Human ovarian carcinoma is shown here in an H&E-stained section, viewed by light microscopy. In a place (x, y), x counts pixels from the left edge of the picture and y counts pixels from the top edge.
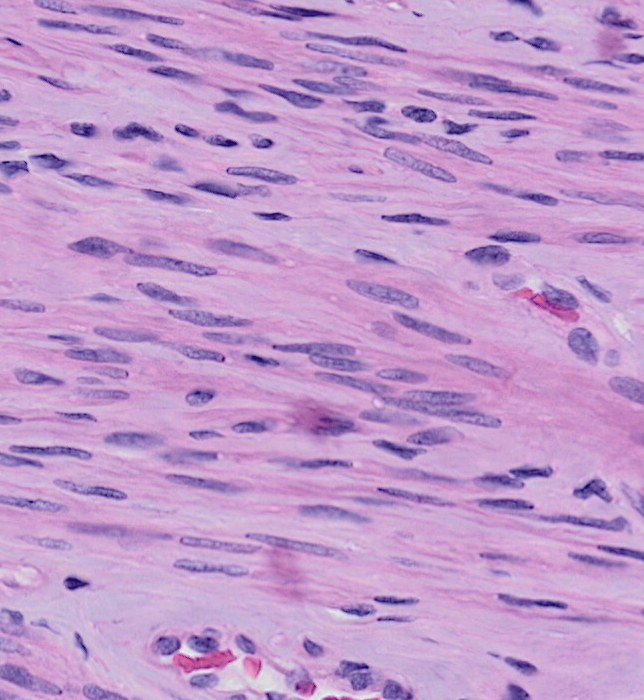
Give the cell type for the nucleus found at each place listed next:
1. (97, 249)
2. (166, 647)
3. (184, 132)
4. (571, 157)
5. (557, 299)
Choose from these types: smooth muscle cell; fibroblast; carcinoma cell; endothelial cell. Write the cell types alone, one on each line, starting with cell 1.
smooth muscle cell
endothelial cell
smooth muscle cell
smooth muscle cell
endothelial cell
